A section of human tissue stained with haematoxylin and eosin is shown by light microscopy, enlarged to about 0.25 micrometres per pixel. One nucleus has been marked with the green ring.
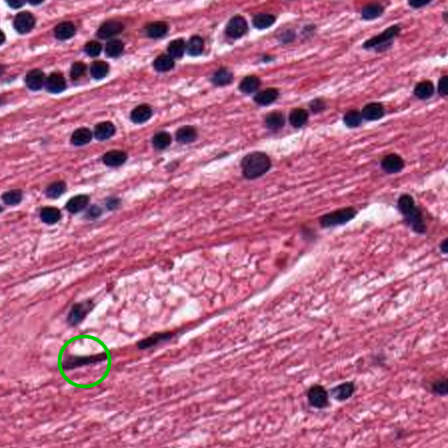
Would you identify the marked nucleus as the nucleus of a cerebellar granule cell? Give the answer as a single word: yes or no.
no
